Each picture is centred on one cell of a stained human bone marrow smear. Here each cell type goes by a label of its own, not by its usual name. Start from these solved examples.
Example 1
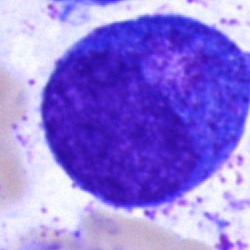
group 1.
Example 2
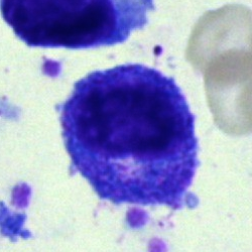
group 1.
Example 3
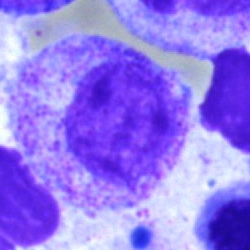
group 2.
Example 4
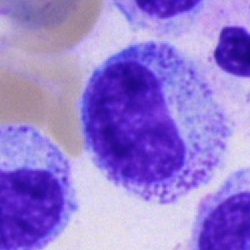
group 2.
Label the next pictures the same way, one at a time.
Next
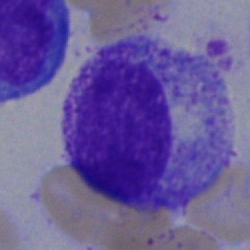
group 2.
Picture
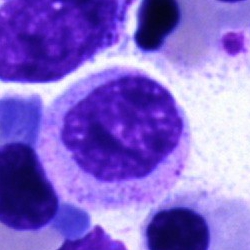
group 2.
